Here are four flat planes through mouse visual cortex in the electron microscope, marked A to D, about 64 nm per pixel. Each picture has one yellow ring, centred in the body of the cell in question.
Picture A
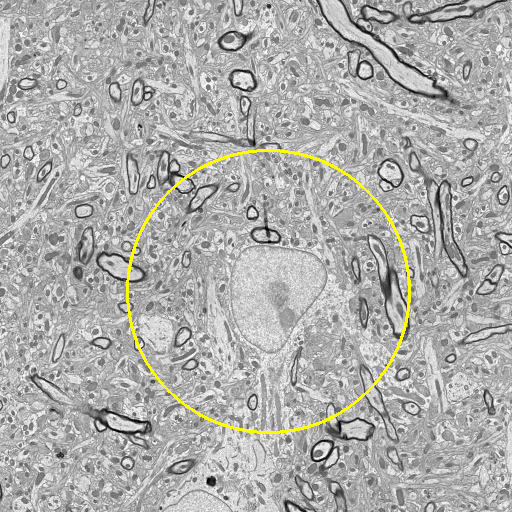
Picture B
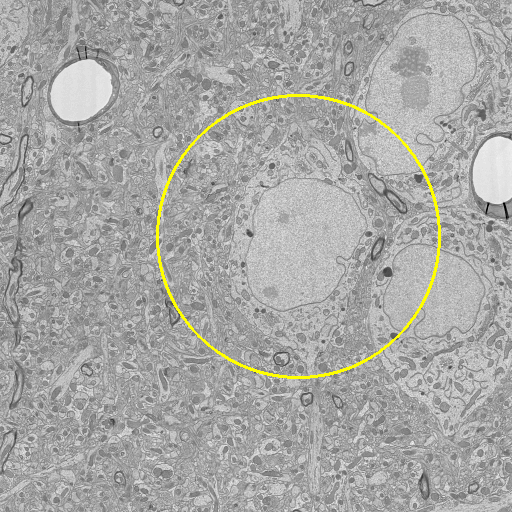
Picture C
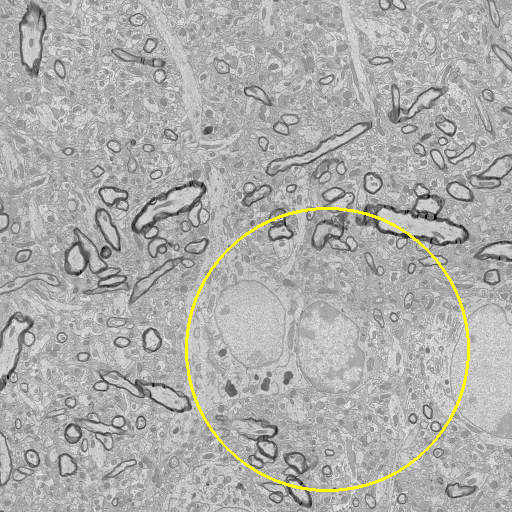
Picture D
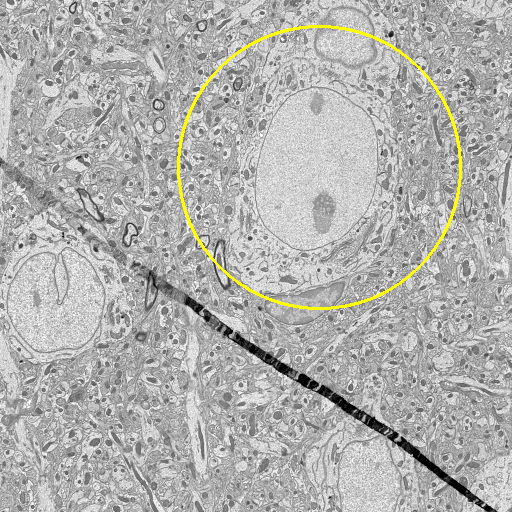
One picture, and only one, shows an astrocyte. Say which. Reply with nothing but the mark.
A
